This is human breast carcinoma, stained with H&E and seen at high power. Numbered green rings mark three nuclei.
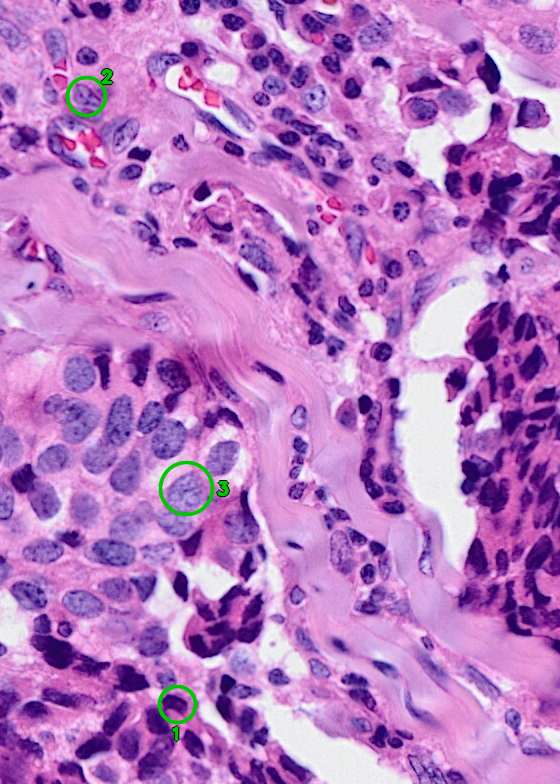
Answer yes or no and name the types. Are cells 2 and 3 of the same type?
No, cell 2 should be called an endothelial cell, and cell 3 should be called a carcinoma cell.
